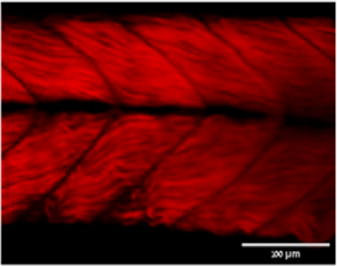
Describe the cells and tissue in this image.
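Trunk skeletal muscle in chevron-shaped segments separated by dark boundaries, with a dark horizontal line at the middle. The fibers within the segments are wavy and irregularly aligned, and the red staining is patchy and uneven, unlike the straight parallel arrangement of normal muscle.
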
